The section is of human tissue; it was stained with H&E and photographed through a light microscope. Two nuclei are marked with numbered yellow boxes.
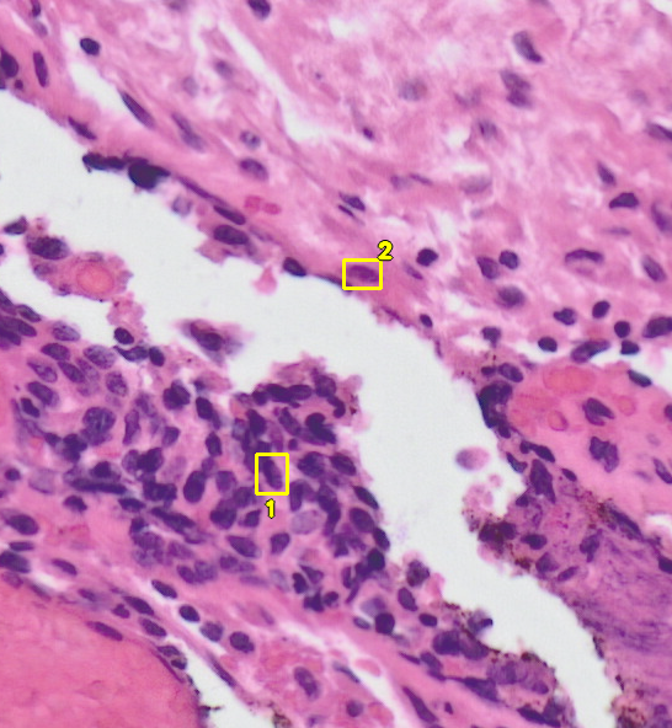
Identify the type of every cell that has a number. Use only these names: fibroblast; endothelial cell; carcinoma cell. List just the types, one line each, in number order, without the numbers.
carcinoma cell
endothelial cell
